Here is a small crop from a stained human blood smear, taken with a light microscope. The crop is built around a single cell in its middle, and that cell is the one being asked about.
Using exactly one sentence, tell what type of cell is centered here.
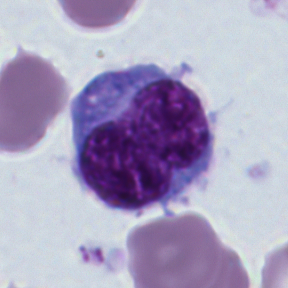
Standing at the centre of this crop is a plasma cell.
